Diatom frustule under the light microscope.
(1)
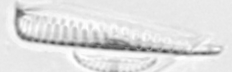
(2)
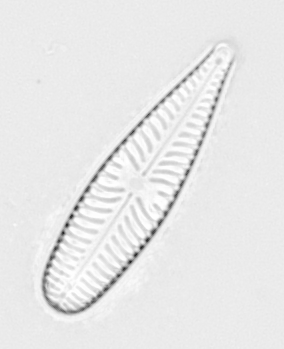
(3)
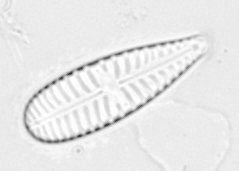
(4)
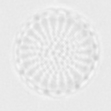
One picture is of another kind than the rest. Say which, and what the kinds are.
Picture 4 shows Cyclotella; the rest show Gomphonella.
